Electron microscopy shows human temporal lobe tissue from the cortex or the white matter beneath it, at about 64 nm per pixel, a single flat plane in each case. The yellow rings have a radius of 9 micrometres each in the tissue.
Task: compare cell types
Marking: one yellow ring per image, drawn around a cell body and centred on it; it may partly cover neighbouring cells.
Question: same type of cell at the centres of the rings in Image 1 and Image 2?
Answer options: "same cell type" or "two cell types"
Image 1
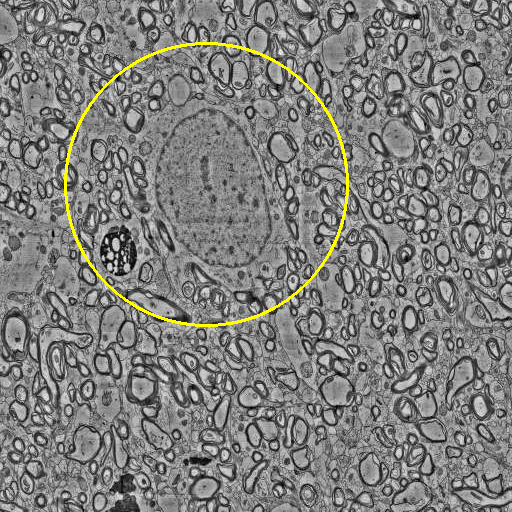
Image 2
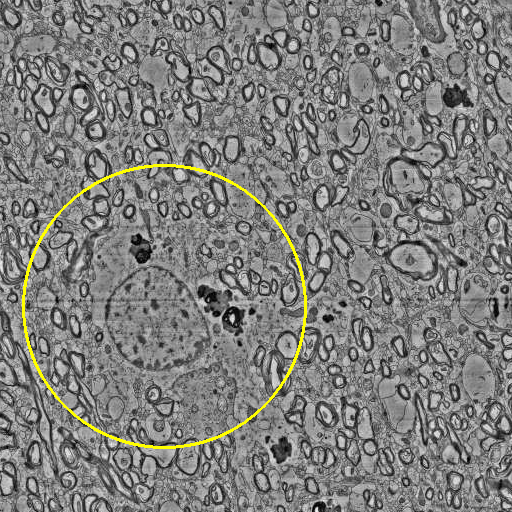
same cell type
